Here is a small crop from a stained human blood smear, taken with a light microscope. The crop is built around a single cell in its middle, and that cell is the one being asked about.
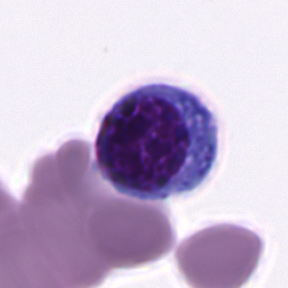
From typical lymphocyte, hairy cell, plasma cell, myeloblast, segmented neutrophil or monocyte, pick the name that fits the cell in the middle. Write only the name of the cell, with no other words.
plasma cell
